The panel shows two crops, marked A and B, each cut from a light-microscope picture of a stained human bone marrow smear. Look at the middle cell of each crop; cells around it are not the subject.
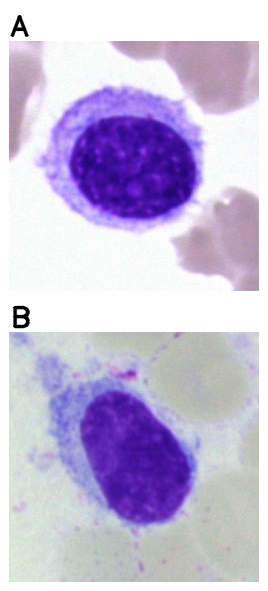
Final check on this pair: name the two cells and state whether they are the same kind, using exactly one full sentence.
Yes, both crops do show hairy cells in the middle.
